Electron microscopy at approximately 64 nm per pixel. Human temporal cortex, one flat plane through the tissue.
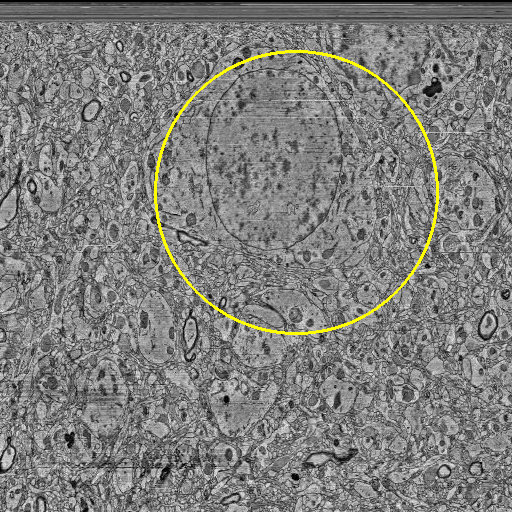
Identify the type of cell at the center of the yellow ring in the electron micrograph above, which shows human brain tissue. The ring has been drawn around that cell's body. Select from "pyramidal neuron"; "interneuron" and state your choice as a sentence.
The yellow ring is centered on the body of a pyramidal neuron.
